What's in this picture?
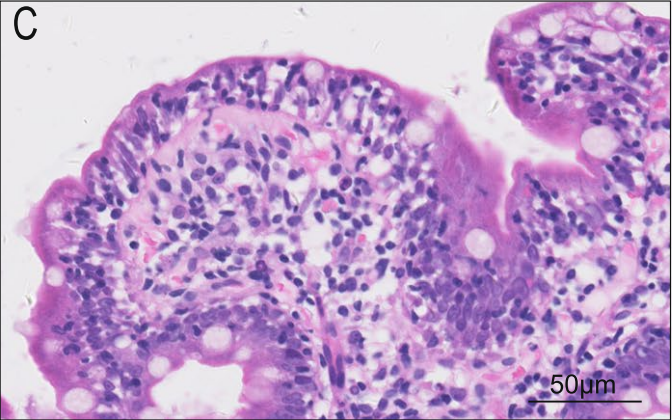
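High-power view of a small bowel villus tip, lined by columnar epithelium with scattered clear goblet cells. Numerous small, dark, round to elongated lymphocyte nuclei lie crowded among the epithelial cells, and the underlying lamina propria contains a mixed population of small cells within a pale, loose stroma.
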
